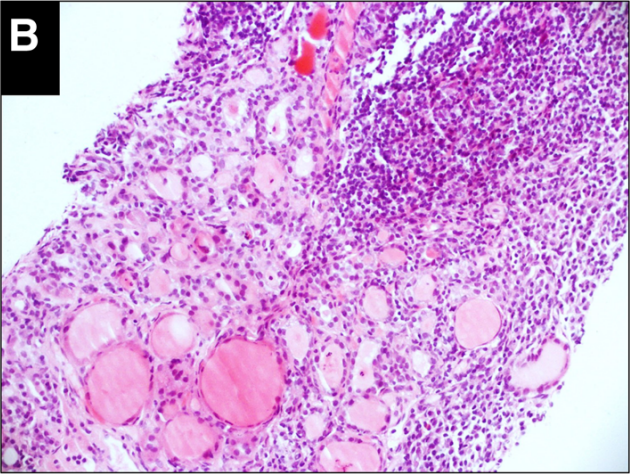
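This is thyroid tissue with an inflammatory infiltrate. On the other side, a dense sheet of small, round, dark-staining lymphocytes crowds between and around the follicles, effacing the normal interfollicular spacing. A few blood vessels with red cells cross the field.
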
